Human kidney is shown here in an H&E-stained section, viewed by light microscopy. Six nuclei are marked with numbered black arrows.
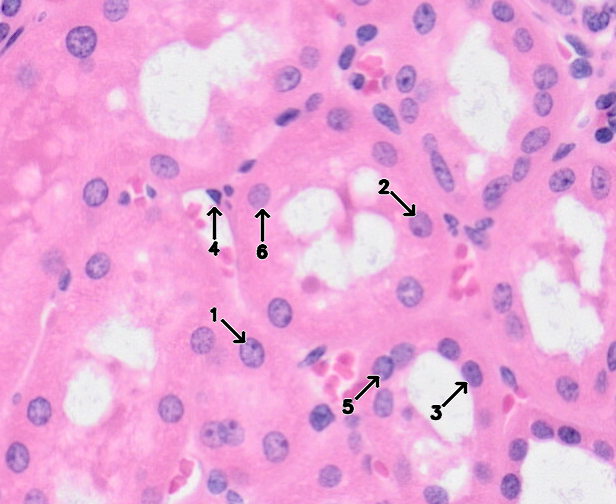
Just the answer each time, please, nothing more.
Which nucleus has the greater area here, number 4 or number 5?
5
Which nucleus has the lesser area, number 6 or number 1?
6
